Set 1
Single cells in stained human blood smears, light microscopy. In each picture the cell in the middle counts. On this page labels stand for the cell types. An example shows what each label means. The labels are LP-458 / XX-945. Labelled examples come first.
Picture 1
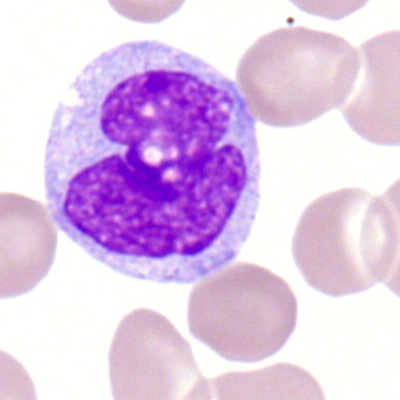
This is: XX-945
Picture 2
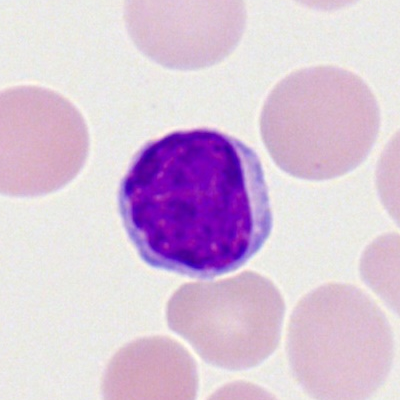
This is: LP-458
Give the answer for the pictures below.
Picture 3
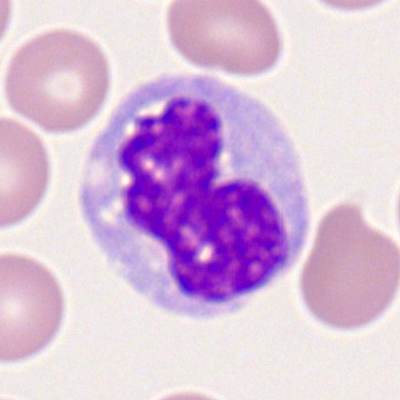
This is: XX-945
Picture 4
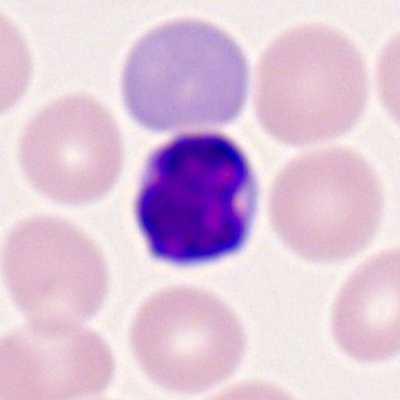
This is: LP-458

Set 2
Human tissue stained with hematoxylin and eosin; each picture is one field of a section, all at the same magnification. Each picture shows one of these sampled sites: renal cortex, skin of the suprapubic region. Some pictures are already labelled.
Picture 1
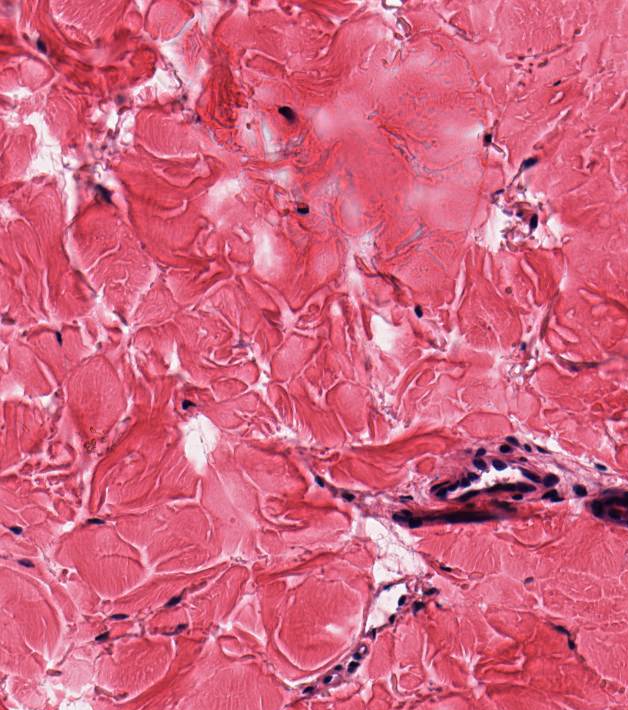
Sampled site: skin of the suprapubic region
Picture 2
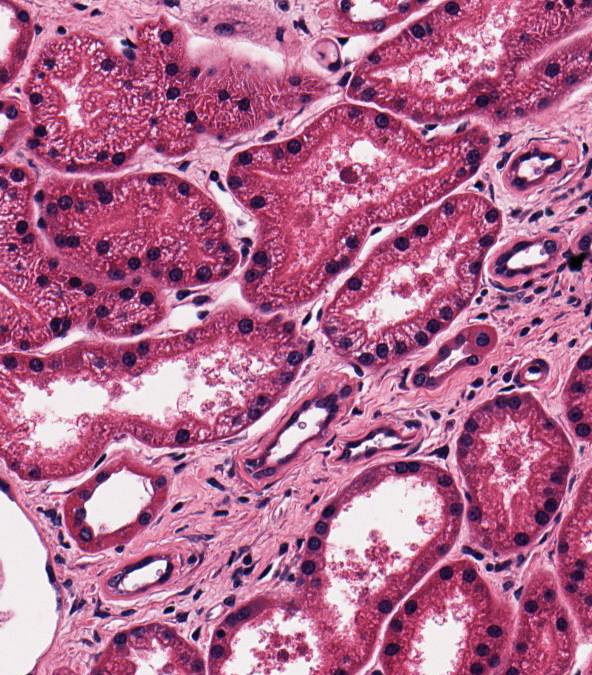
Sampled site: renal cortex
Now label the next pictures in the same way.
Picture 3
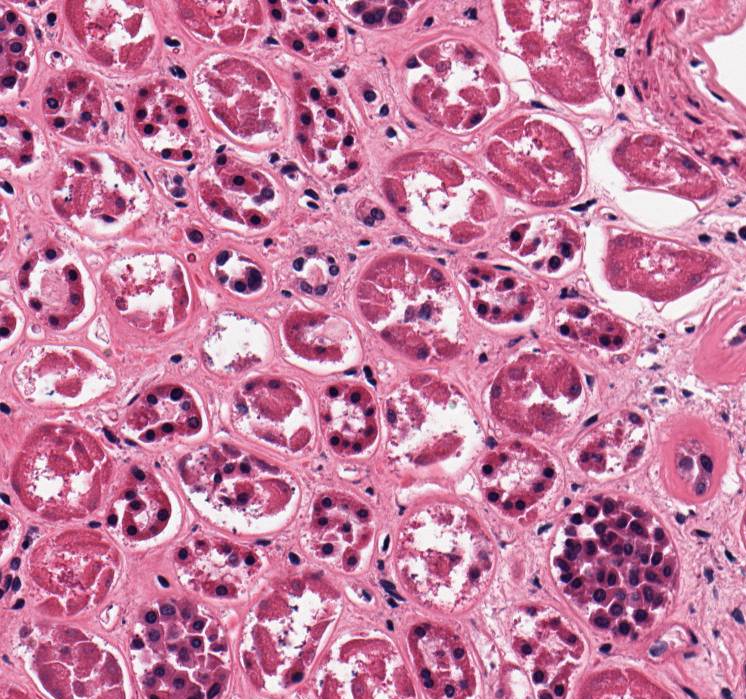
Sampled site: renal cortex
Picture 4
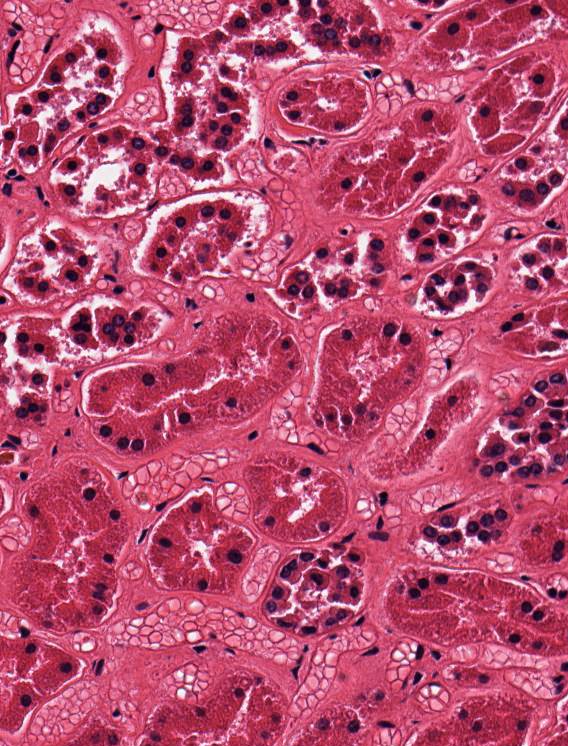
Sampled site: renal cortex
